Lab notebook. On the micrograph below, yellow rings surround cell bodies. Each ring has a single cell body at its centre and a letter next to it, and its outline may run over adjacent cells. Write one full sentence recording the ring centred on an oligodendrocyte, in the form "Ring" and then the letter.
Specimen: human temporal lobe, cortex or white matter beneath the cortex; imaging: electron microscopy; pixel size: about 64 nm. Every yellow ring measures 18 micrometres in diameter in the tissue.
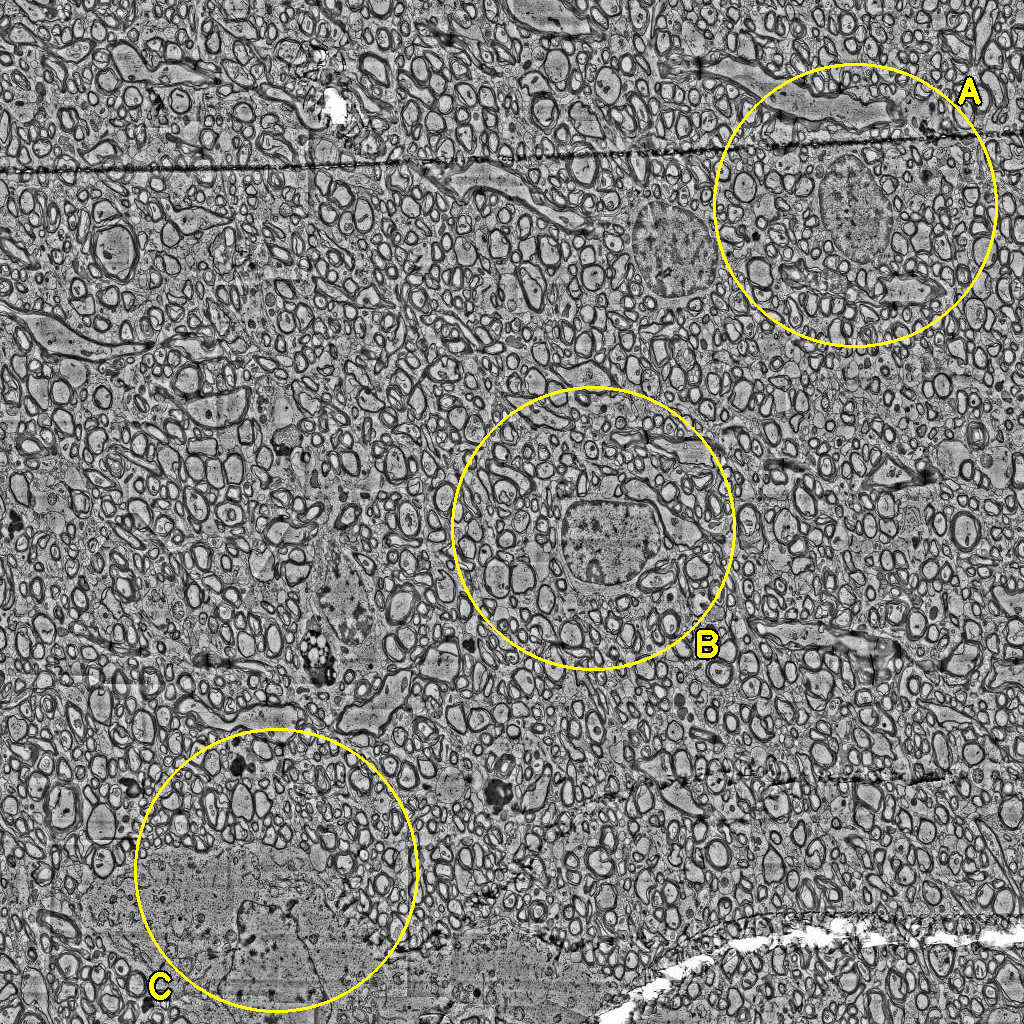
My answer is Ring A, the ring centred on a cell of that kind.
